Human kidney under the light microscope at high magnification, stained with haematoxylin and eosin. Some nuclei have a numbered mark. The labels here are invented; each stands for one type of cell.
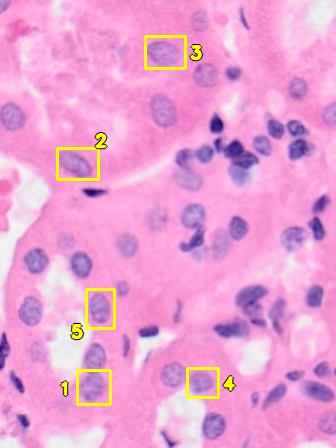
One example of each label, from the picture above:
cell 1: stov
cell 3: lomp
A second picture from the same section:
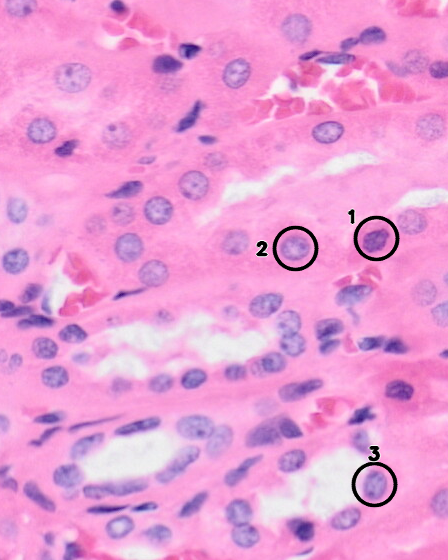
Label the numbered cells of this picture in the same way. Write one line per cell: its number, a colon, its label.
1: lomp
2: lomp
3: stov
